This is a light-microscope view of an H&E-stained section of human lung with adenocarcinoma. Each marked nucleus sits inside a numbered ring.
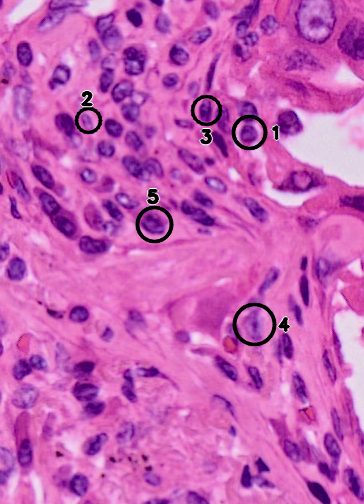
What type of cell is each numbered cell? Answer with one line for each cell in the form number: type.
1: lymphocyte
2: lymphocyte
3: lymphocyte
4: fibroblast
5: plasma cell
